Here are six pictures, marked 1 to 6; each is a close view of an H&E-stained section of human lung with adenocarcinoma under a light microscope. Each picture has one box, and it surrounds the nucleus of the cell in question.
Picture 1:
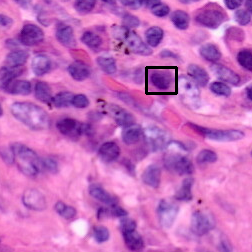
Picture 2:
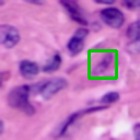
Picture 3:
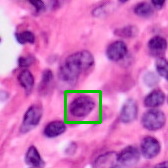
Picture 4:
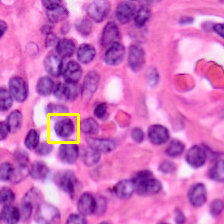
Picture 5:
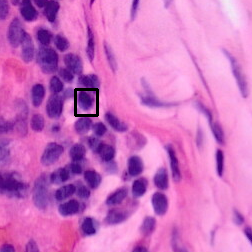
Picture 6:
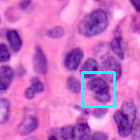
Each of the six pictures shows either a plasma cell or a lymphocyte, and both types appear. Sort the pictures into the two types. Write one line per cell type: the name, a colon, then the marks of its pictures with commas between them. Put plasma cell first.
plasma cell: 1, 2, 3
lymphocyte: 4, 5, 6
